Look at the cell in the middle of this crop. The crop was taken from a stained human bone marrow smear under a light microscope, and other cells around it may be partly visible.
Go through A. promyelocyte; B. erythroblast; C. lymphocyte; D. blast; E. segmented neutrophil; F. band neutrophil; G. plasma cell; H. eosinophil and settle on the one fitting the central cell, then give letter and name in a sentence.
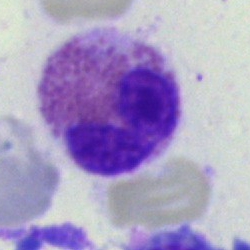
Here the right option is H, as the cell in the middle is an eosinophil.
